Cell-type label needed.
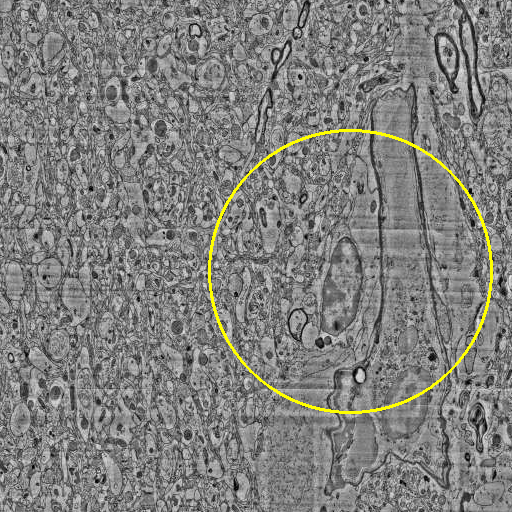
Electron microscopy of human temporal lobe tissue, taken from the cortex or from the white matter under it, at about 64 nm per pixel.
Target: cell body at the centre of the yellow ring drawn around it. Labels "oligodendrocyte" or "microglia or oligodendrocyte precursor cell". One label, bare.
microglia or oligodendrocyte precursor cell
